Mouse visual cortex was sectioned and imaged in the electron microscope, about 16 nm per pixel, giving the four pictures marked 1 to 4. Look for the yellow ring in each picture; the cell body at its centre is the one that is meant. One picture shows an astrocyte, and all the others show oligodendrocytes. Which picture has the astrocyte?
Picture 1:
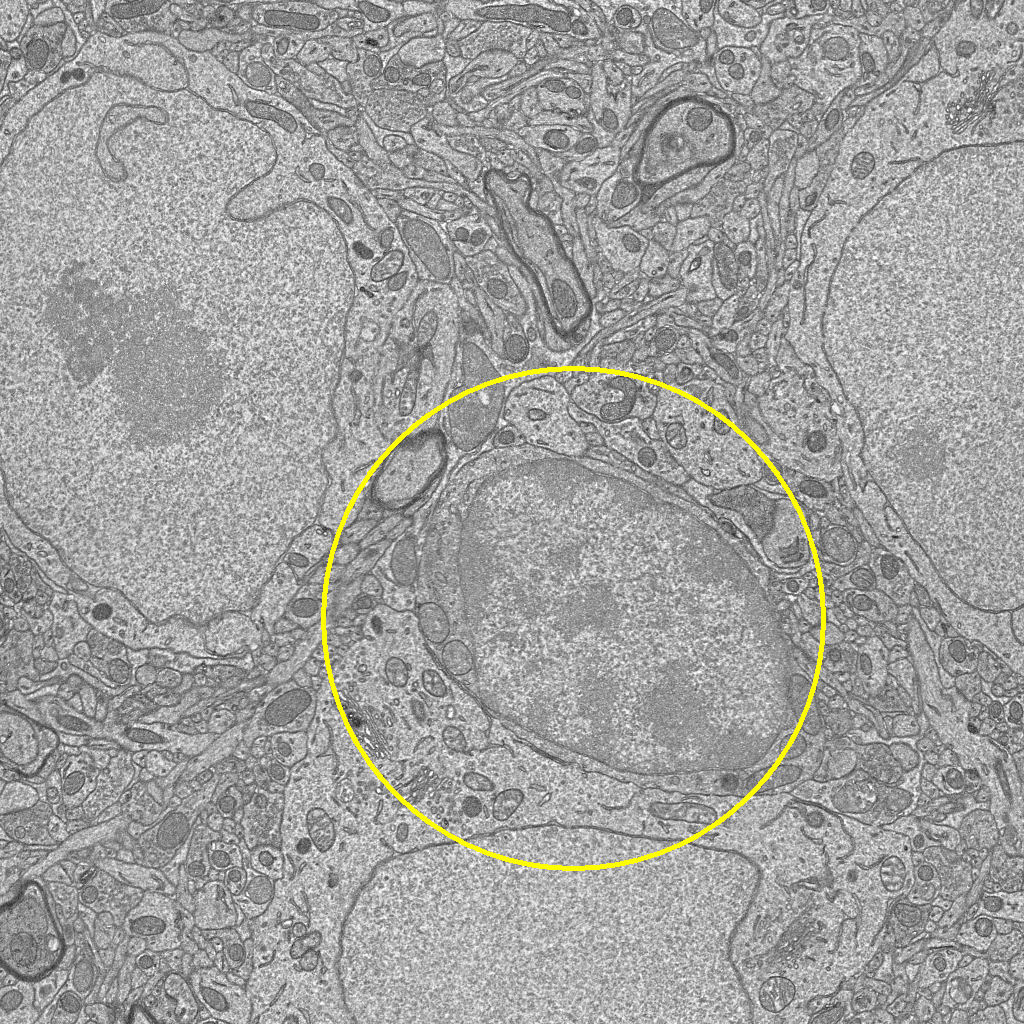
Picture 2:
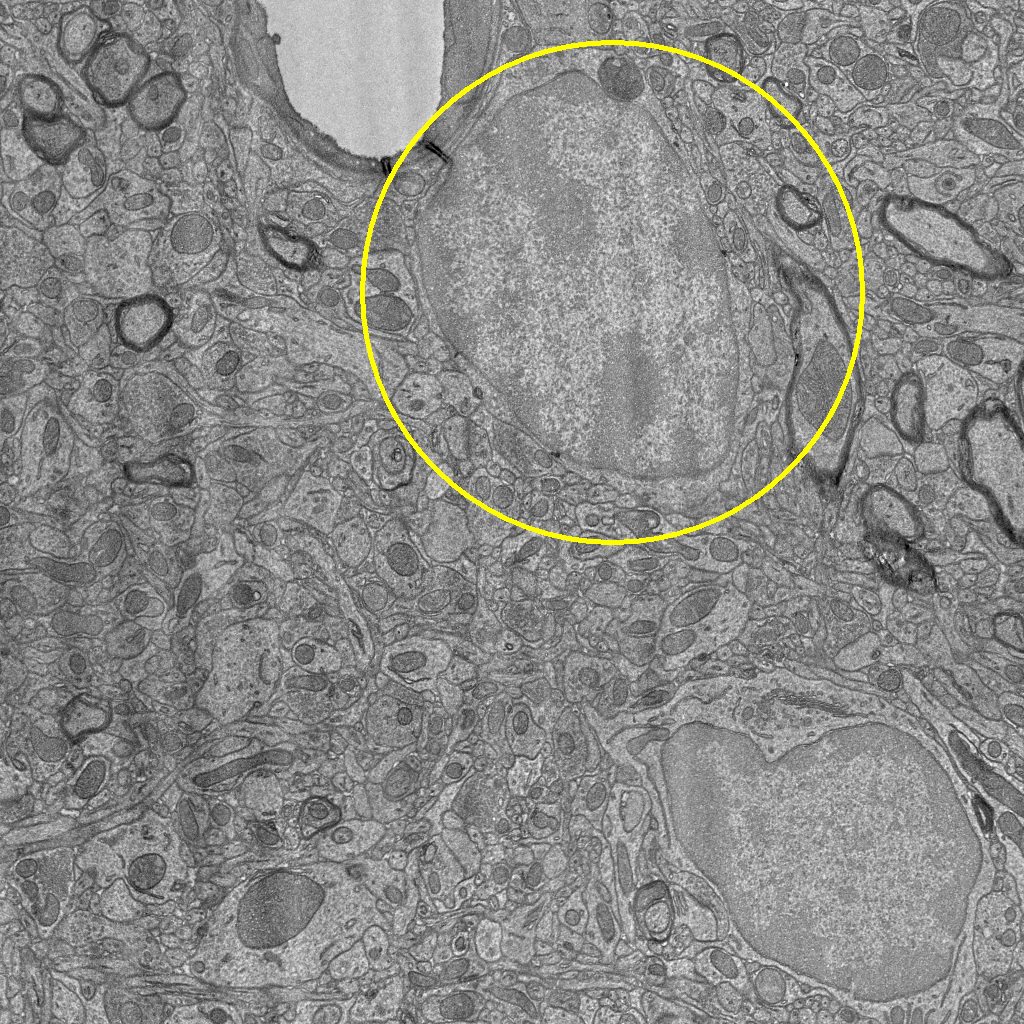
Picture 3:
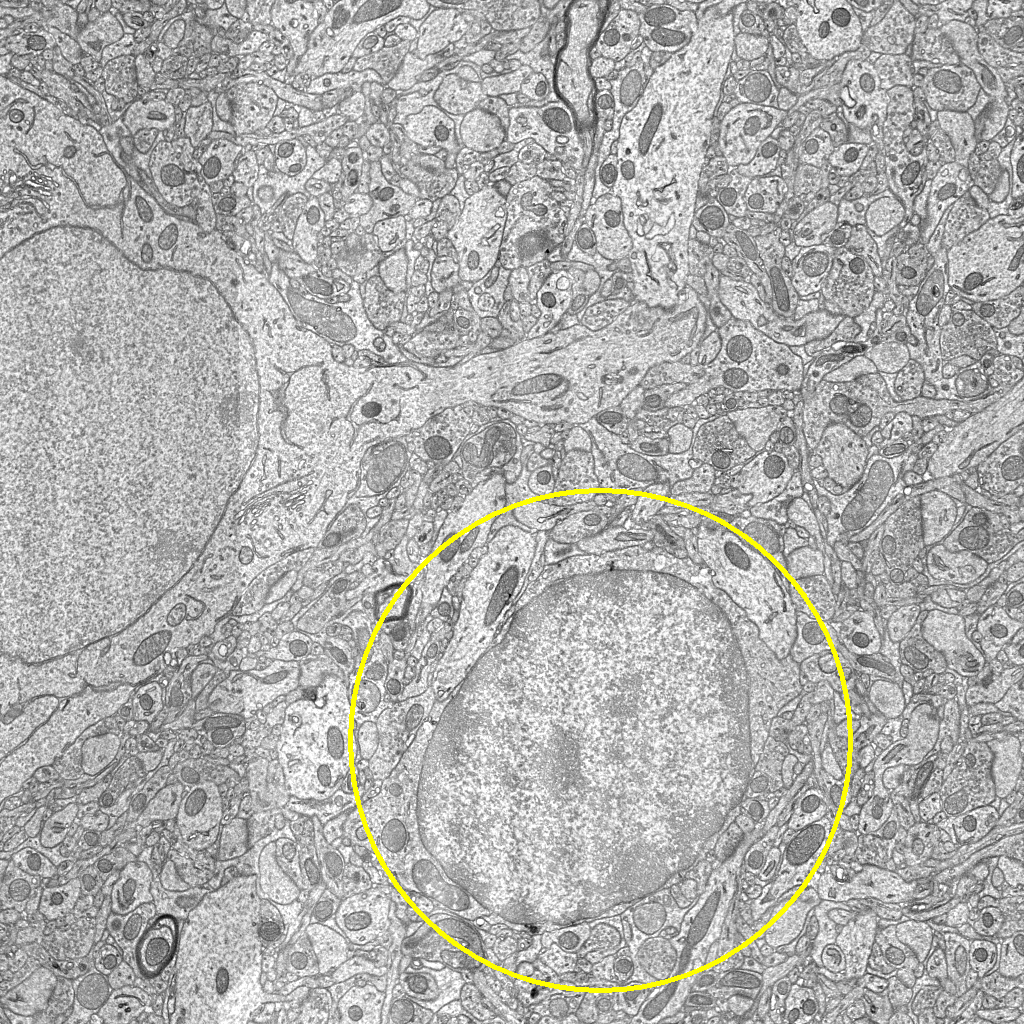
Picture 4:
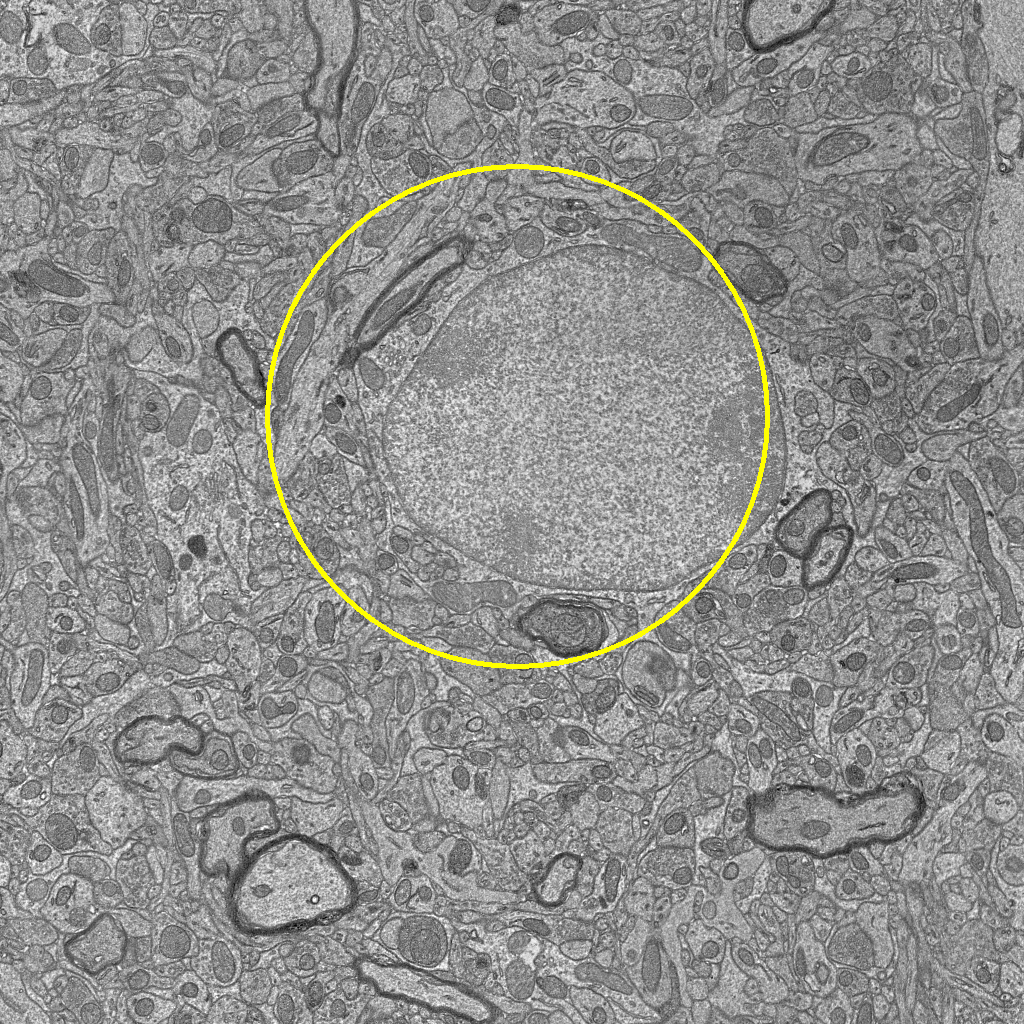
The picture with the astrocyte is 4.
